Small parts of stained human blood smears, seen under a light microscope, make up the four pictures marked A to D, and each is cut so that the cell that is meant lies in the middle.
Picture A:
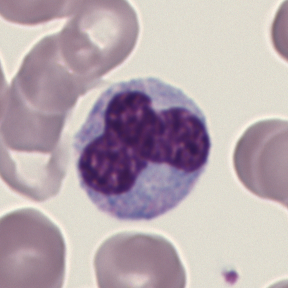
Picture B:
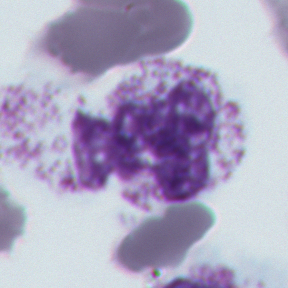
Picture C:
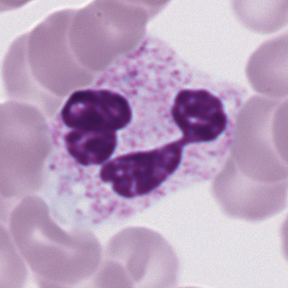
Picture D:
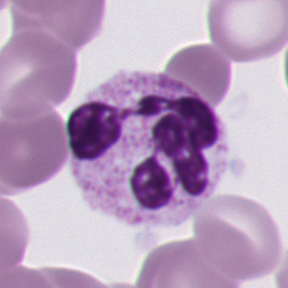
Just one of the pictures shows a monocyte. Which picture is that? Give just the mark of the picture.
A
